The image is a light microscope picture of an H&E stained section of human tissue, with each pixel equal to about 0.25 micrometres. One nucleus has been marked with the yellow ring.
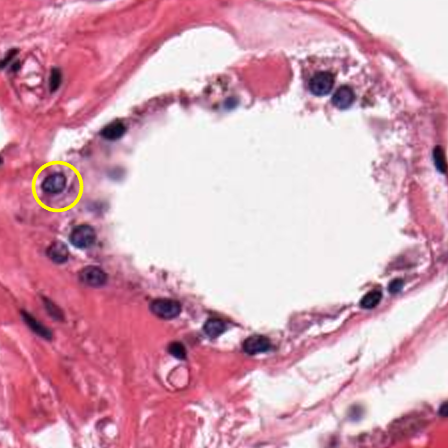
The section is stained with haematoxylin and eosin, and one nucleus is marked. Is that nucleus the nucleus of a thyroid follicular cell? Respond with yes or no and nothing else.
yes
